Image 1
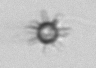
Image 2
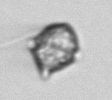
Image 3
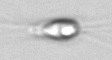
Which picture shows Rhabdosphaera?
Picture 1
